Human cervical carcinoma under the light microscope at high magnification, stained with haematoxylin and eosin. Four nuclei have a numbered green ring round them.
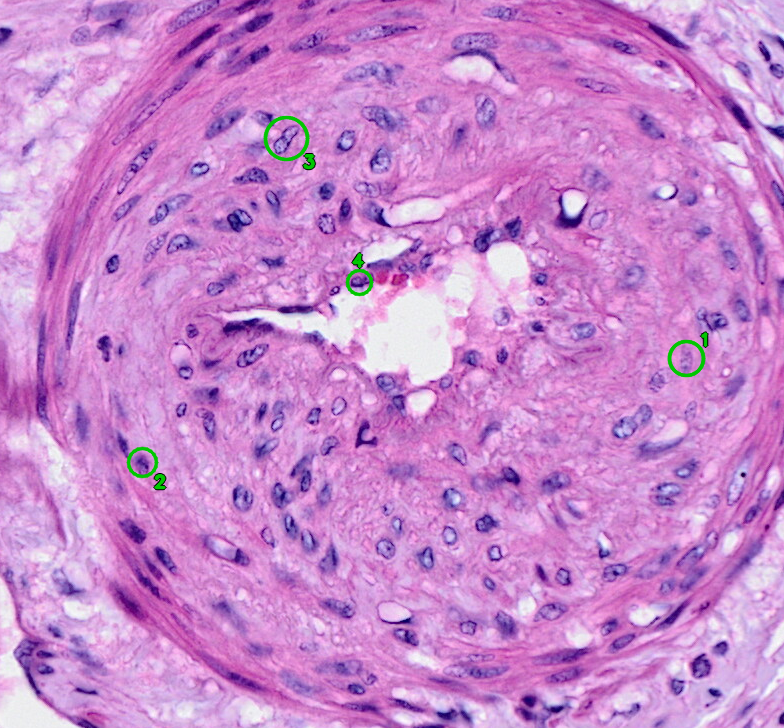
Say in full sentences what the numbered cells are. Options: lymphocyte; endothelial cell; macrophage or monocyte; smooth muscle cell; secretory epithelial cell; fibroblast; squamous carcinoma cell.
Cells 1, 2 and 3 are smooth muscle cells. Cell 4 is an endothelial cell.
